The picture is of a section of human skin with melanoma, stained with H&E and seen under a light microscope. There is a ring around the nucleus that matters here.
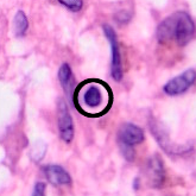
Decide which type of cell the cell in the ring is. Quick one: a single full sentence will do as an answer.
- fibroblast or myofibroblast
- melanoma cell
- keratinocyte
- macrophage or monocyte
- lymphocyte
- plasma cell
It is as a lymphocyte that the cell in the ring is classified.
